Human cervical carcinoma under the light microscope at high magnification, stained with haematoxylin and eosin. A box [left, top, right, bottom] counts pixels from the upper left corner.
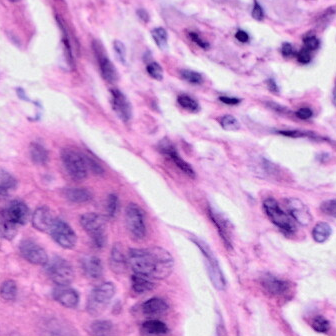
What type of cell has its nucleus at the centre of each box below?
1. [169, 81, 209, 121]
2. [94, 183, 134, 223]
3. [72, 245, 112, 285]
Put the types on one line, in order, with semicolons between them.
lymphocyte; squamous carcinoma cell; squamous carcinoma cell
